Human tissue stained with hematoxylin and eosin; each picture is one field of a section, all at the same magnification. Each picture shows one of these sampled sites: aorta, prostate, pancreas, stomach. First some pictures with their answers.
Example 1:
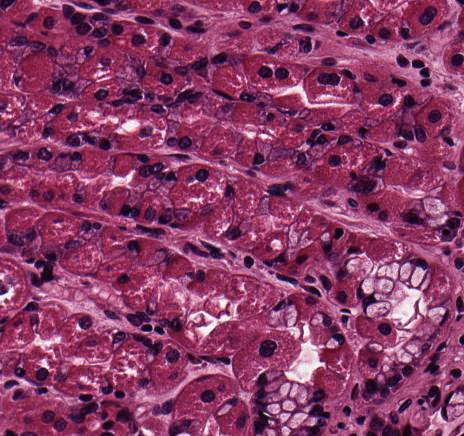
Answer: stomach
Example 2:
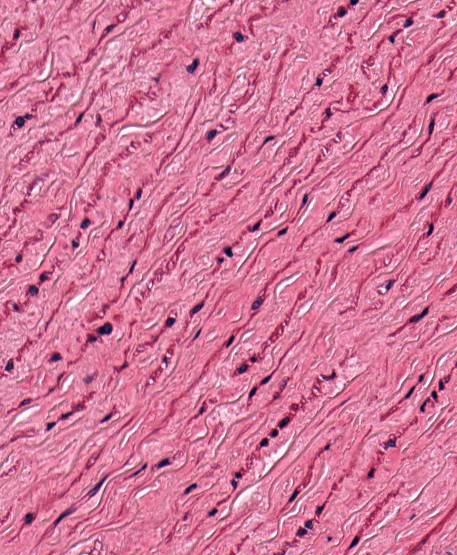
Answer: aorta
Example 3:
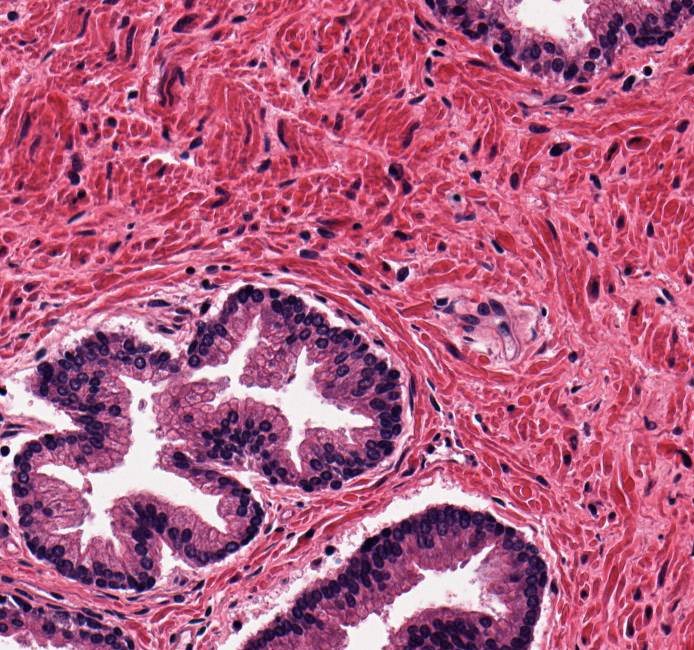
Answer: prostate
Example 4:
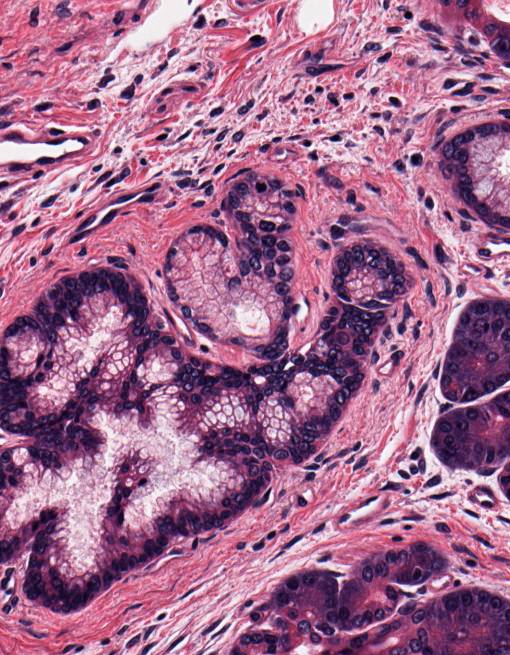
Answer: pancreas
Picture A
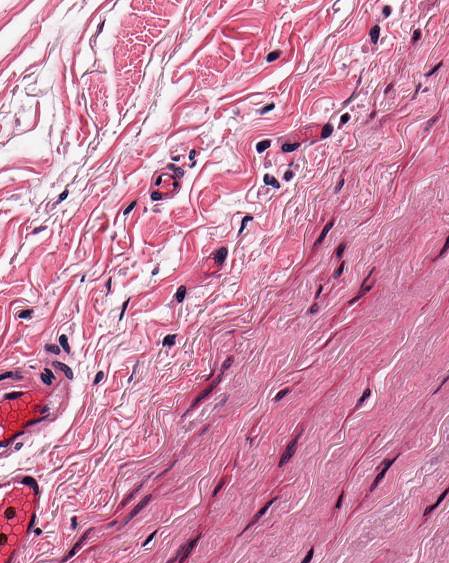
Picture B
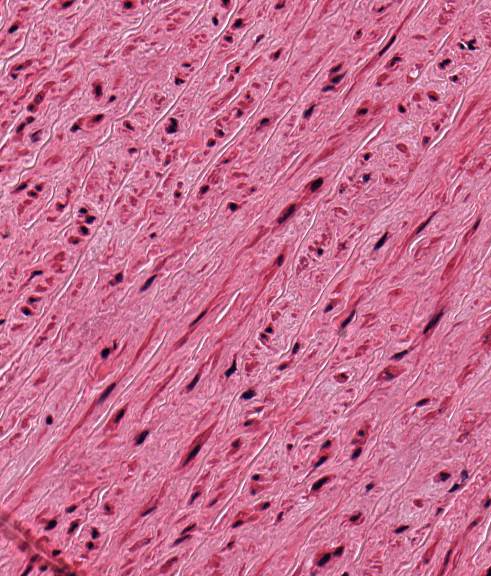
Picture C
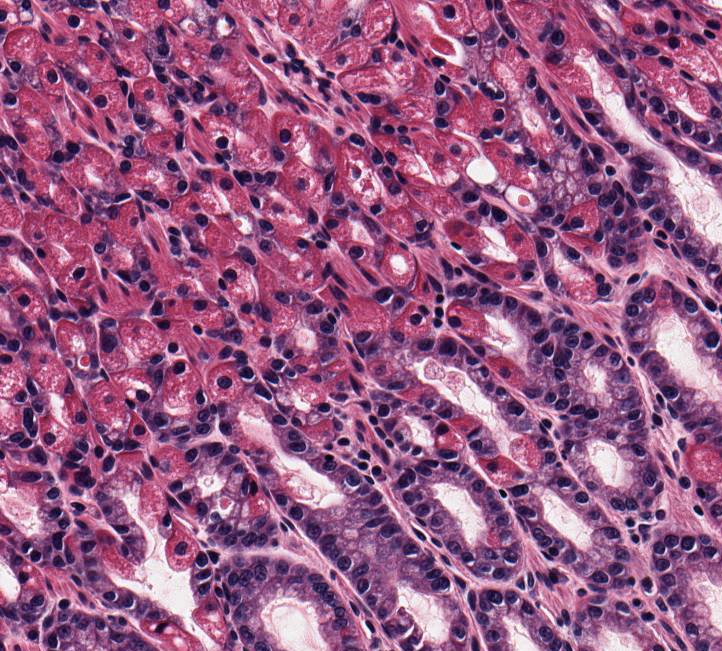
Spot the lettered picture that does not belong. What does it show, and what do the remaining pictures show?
C: stomach; all the others: aorta.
